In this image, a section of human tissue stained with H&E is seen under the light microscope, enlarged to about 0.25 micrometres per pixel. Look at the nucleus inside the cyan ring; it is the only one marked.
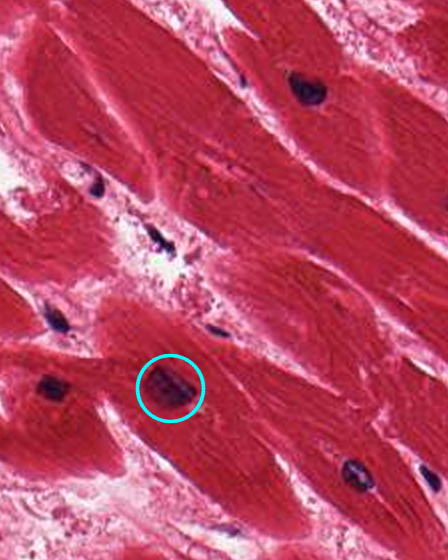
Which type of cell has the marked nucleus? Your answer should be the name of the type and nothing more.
cardiomyocyte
